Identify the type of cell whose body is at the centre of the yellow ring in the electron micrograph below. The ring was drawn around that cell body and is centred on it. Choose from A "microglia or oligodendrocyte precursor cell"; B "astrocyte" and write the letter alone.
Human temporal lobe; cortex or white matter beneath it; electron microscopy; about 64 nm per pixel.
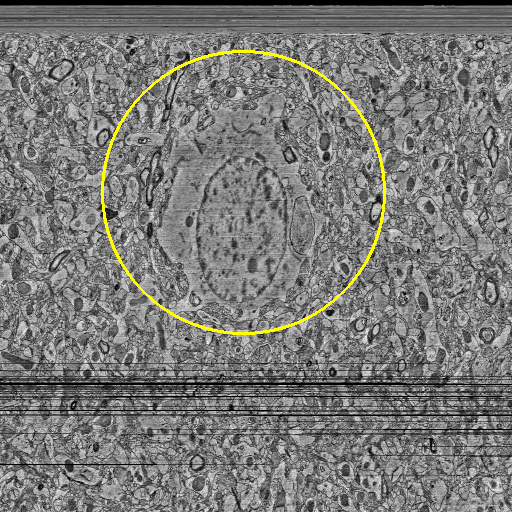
B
